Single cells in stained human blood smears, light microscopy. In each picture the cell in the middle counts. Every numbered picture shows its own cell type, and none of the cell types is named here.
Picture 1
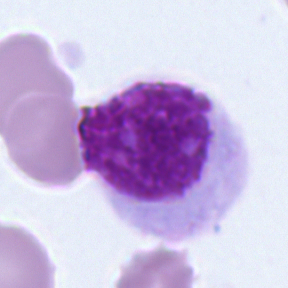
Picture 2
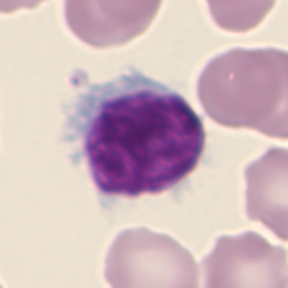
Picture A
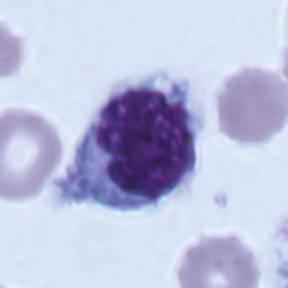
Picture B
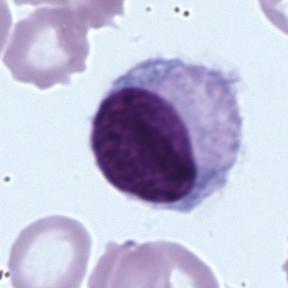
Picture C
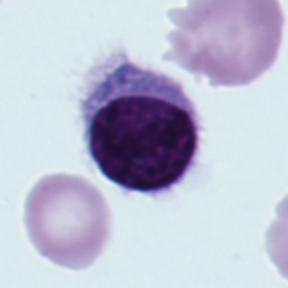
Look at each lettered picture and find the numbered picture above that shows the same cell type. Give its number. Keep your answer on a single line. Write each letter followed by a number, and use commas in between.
A 1, B 2, C 2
